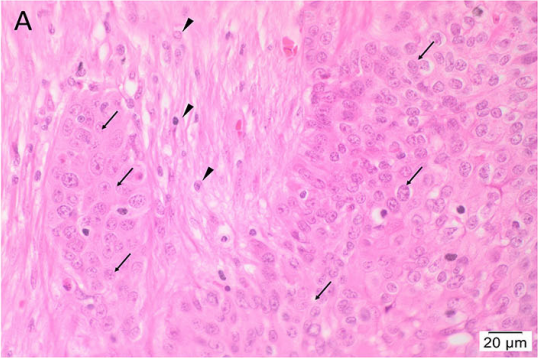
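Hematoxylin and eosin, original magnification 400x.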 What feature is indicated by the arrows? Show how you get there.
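Tumor nests. Arrows point into compact clusters of large polygonal cells with abundant pink cytoplasm. The cells have large round to oval nuclei with visible nucleoli. The clusters are bordered by paler fibrous tissue.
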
